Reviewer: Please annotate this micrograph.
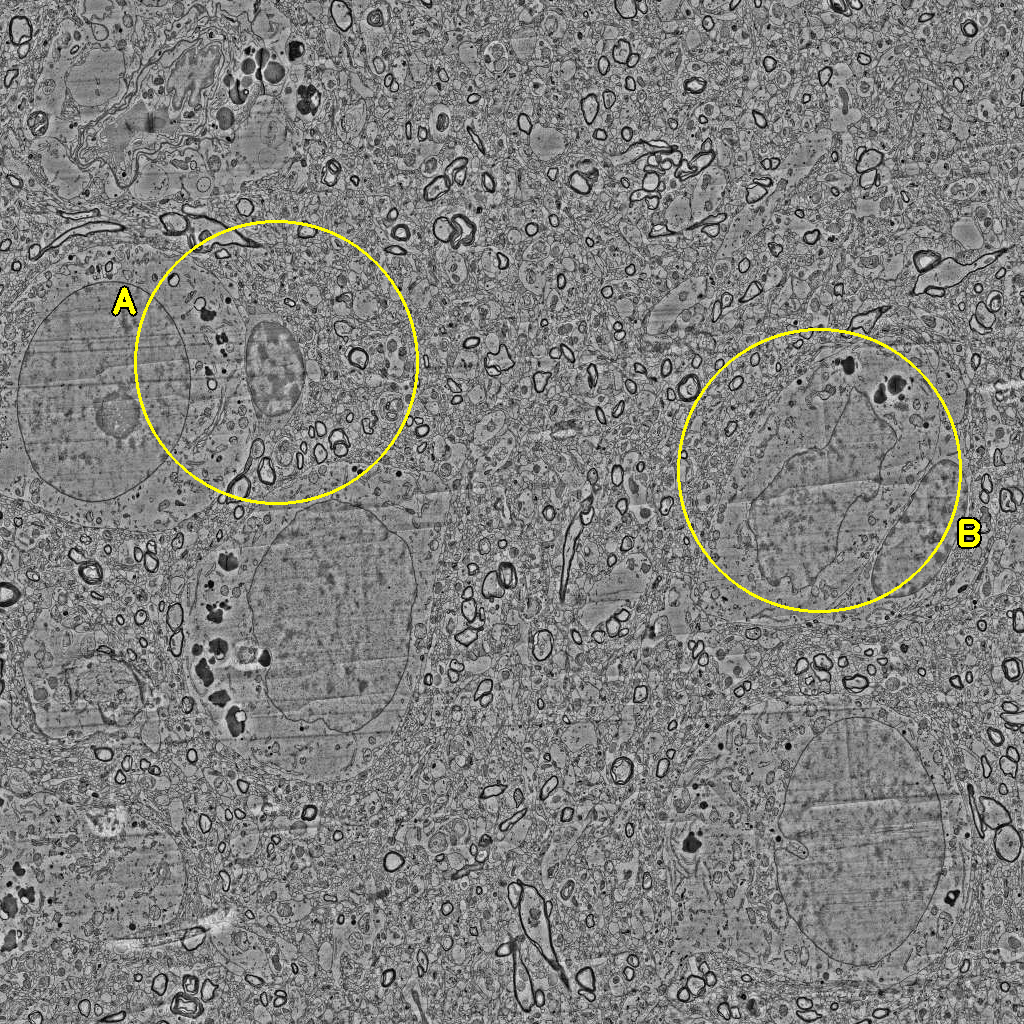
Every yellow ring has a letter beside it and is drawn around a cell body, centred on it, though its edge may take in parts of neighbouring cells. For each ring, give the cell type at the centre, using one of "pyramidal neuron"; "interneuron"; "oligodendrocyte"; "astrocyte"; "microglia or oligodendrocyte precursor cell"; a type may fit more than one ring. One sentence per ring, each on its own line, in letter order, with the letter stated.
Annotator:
The cell in the middle of ring A is an oligodendrocyte.
The cell in the middle of ring B is an interneuron.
